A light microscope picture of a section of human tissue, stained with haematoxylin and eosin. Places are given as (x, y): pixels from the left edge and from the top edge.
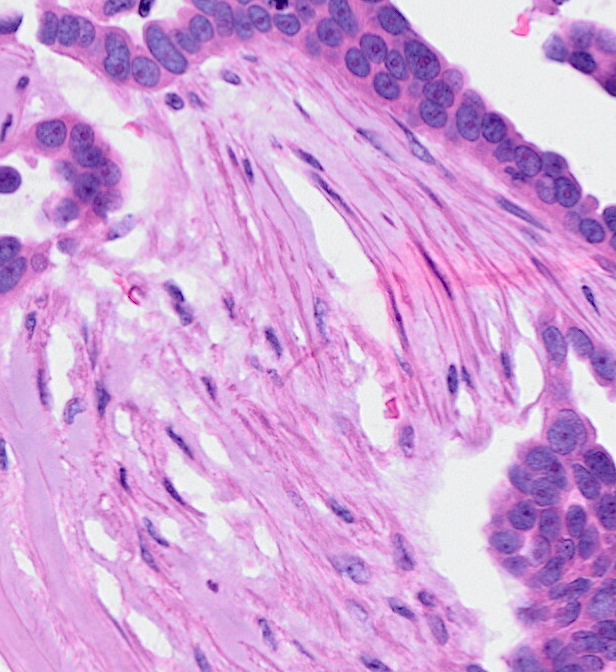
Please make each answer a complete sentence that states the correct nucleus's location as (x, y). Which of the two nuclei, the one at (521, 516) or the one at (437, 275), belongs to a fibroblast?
It is the nucleus at (437, 275) that forms part of a fibroblast.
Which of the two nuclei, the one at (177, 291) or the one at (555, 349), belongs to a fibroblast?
The nucleus that sits at (177, 291) is the nucleus of a fibroblast.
